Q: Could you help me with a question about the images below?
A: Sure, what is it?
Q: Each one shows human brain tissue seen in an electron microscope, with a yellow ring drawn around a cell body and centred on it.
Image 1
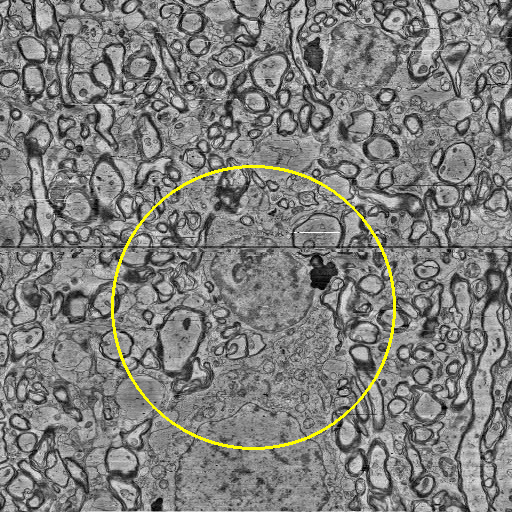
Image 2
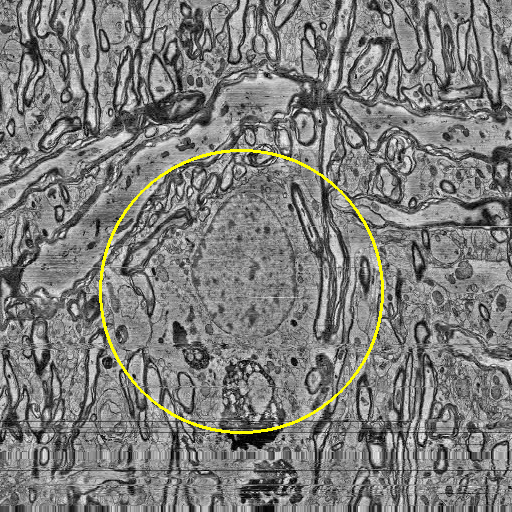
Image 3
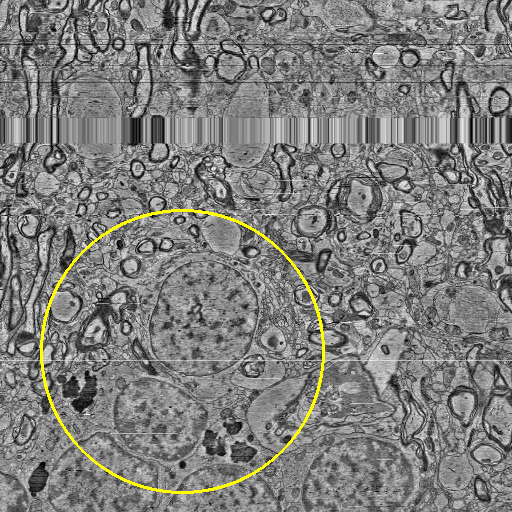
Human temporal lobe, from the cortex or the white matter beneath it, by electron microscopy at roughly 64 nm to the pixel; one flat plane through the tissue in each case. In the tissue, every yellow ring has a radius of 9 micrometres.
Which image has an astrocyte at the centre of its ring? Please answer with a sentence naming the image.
Image 2 has it at the centre of its ring.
